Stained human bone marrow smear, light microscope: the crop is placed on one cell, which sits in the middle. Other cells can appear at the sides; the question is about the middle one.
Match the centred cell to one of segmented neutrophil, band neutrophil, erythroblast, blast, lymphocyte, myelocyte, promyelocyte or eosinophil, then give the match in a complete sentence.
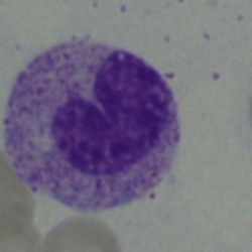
To answer, the cell in the center of the crop is a band neutrophil.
